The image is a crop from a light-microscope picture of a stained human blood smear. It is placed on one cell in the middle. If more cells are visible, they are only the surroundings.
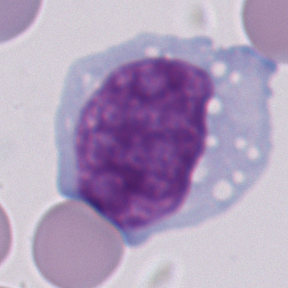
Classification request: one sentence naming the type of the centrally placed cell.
The middle of this crop is occupied by a myeloblast.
